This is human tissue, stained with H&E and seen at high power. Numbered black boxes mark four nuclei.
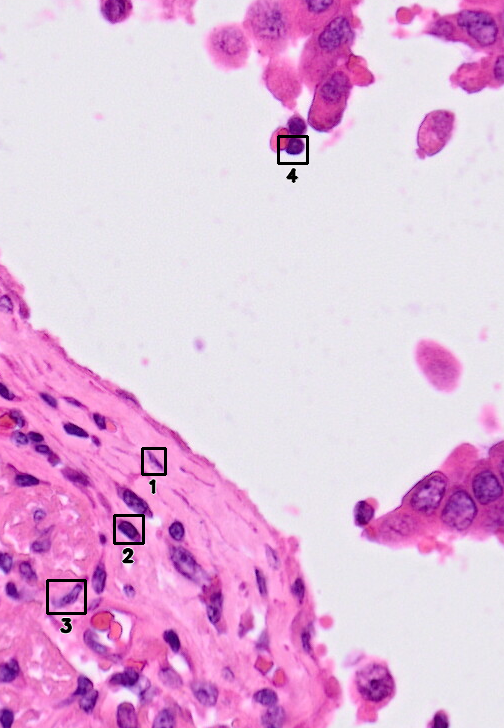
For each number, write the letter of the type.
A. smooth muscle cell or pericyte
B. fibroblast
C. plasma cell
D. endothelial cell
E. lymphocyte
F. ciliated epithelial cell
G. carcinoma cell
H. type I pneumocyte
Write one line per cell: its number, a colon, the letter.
1: B
2: C
3: B
4: E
